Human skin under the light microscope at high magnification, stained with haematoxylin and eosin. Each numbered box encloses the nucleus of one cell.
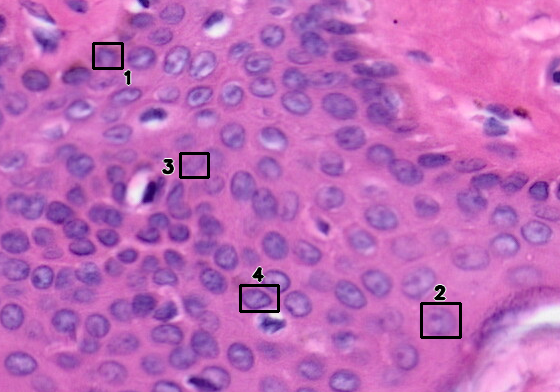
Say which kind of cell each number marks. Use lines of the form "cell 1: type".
cell 1: basal keratinocyte
cell 2: suprabasal keratinocyte
cell 3: suprabasal keratinocyte
cell 4: suprabasal keratinocyte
